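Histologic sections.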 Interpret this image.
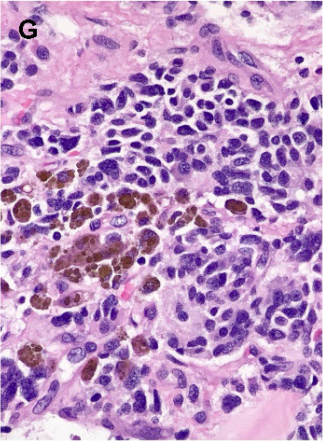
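A nest of tumor cells contains clusters of cells filled with dark brown granular intracytoplasmic pigment. Surrounding tumor cells have dark, round to oval nuclei and scant cytoplasm without pigment. Pink fibrous stroma borders the nest.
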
